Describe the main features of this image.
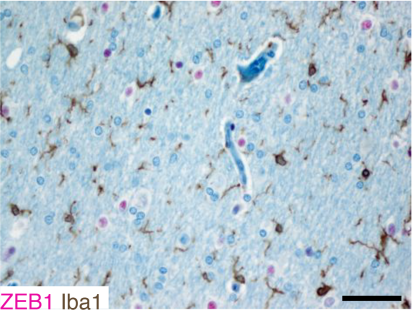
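Brain tissue with microglia scattered evenly through a pale blue neuropil, stained brown. They have small bodies and several thin, branching processes. Many small round nuclei are counterstained blue, and some nuclei are pink. A thin-walled blood vessel runs through the middle of the field.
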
